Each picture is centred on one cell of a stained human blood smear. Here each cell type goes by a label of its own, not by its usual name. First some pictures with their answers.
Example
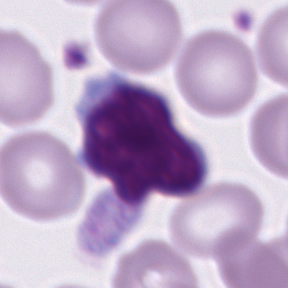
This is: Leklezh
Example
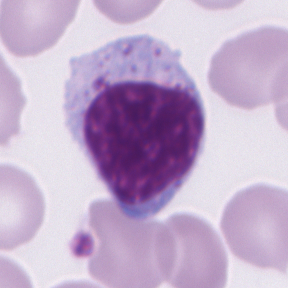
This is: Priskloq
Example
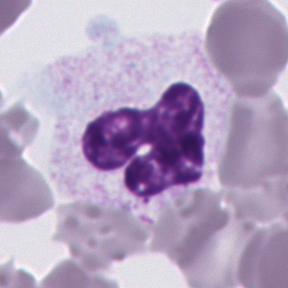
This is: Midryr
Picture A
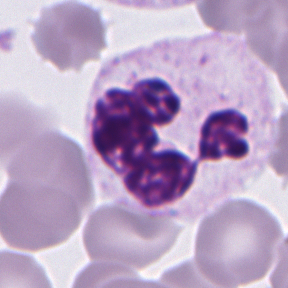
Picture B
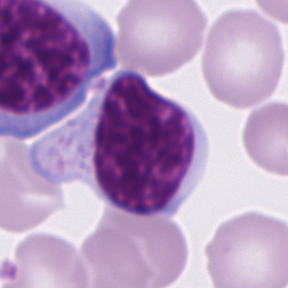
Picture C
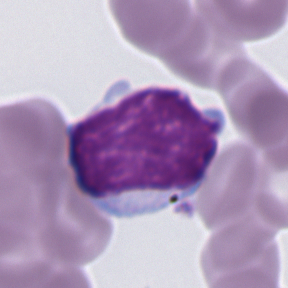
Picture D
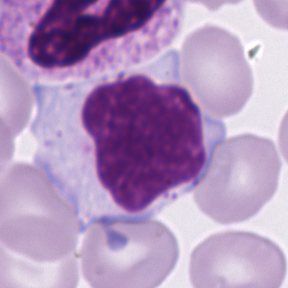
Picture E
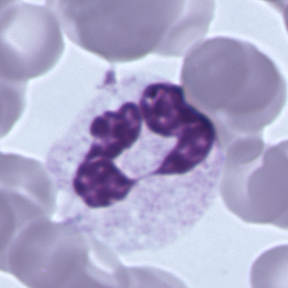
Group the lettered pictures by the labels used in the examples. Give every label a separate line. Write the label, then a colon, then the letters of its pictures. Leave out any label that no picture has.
Priskloq: B, C, D
Midryr: A, E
